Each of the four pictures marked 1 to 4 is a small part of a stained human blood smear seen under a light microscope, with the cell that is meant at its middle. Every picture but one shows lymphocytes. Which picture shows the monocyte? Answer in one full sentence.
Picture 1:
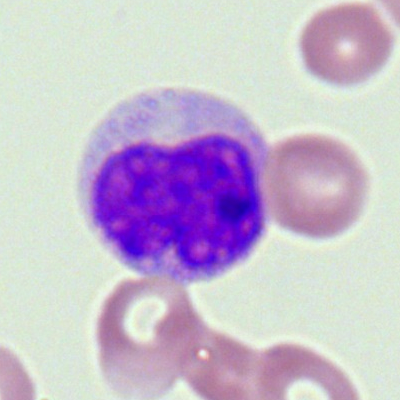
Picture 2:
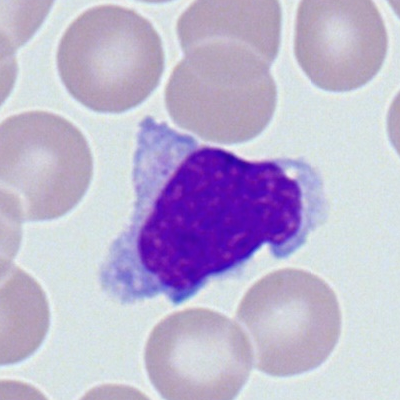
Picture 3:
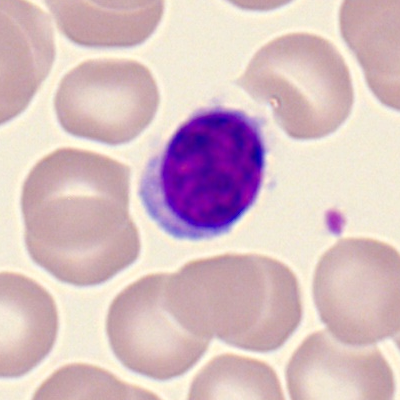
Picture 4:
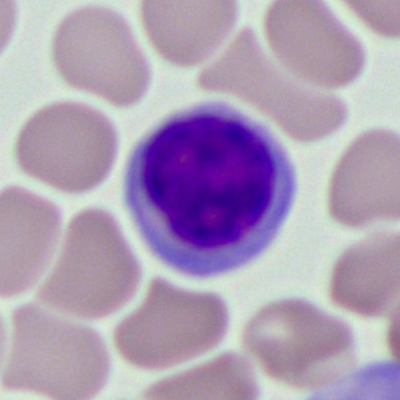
The cell in picture 1 is the monocyte.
